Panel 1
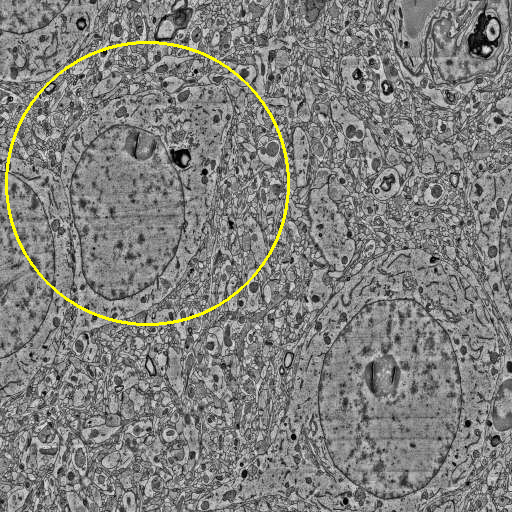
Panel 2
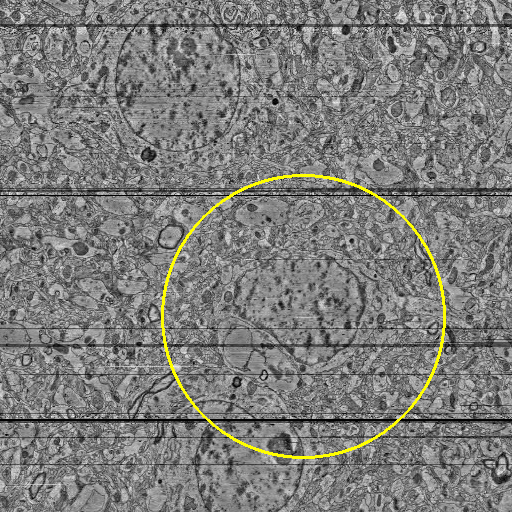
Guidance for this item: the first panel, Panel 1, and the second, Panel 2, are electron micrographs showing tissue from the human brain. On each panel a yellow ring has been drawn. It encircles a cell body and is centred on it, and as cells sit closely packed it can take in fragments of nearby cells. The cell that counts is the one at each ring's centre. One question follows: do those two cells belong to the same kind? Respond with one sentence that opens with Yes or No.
No, the cells at the ring centres in Panel 1 and Panel 2 are of two kinds.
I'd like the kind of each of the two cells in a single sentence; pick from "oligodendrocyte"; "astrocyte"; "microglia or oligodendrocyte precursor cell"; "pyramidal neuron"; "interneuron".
The first ring marks a pyramidal neuron, and the second ring marks an interneuron.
